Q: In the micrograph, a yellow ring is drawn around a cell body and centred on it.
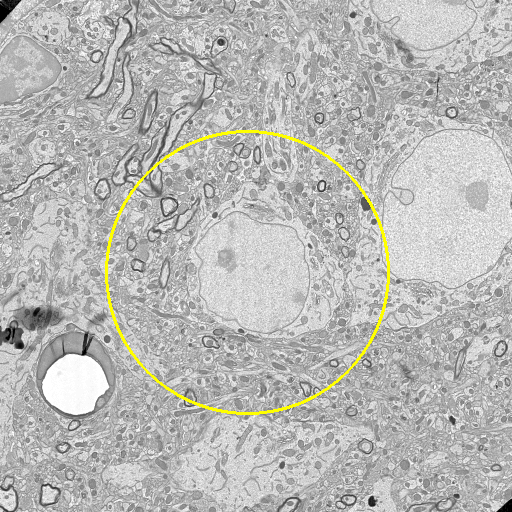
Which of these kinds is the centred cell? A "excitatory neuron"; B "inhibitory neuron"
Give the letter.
A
